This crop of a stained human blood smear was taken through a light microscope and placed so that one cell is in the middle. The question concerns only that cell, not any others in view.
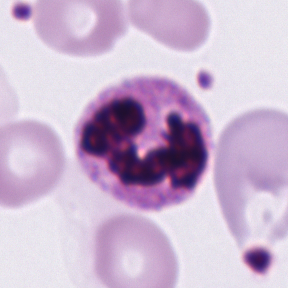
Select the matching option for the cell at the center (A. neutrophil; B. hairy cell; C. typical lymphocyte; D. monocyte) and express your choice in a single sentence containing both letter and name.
What option A states is correct, the central cell being a neutrophil.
